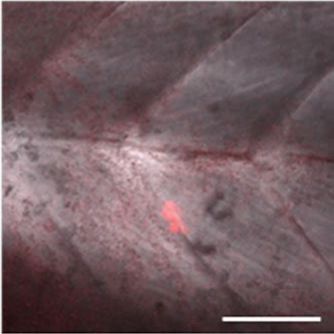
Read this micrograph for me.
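The grey background shows the trunk of the larva with chevron-shaped boundaries of muscle segments crossing it. Near the horizontal line where the segments meet lies a single compact cluster of bright red rounded cells. The cluster is small, made of a few tightly grouped cells, with a dark pigment spot beside it. Fine red speckles are dusted faintly over the surrounding tissue.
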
